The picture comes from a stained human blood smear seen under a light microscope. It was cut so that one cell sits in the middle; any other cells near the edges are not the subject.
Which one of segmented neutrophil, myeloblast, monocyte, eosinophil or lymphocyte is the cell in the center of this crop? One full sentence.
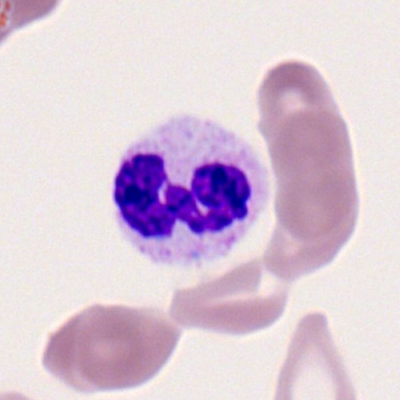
Classified as a segmented neutrophil is the cell in the middle of this crop.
